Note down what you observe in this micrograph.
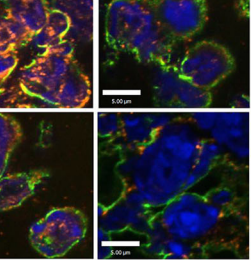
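Green lines trace the cell surfaces and outline neighbouring cells against one another. Orange granular signal lies over the cells; it is dense in the upper-left field and sparse in the other fields, especially the lower-right one.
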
